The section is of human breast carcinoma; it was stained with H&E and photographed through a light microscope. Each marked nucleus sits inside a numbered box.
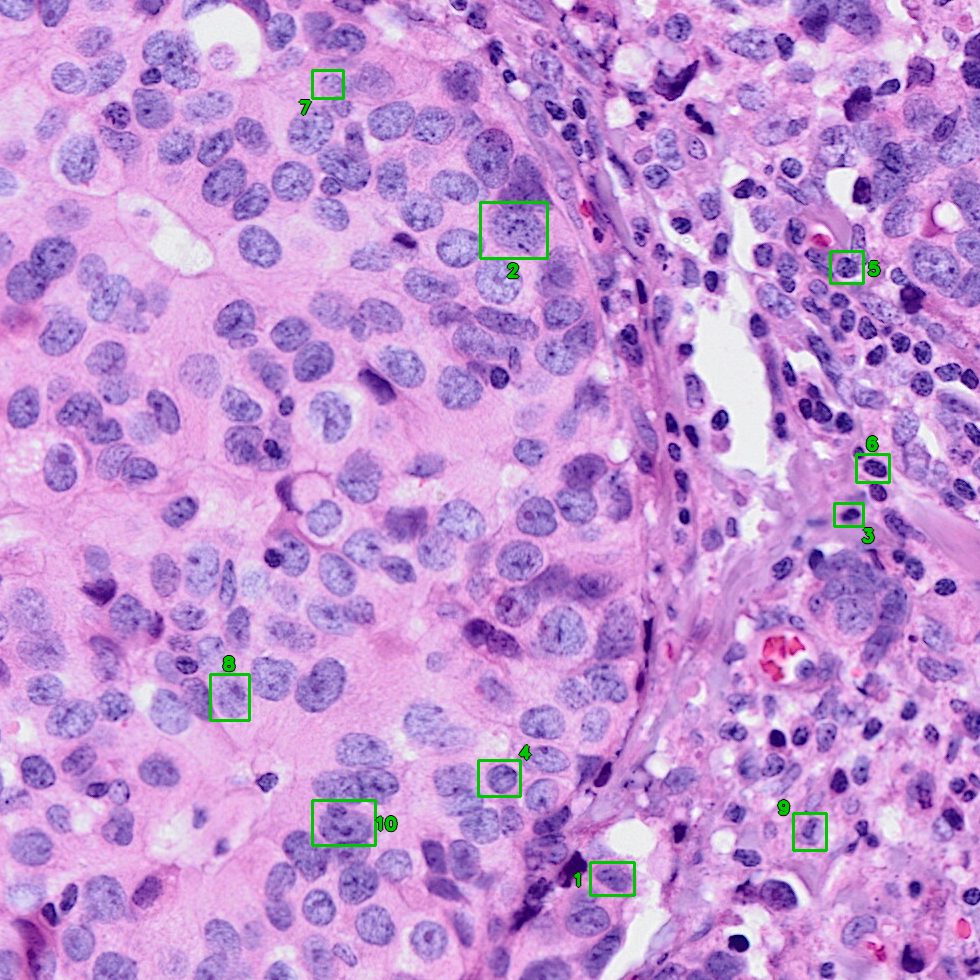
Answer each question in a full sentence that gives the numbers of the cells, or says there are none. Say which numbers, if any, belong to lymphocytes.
The cells numbered 3, 5 and 6 fall into the category of lymphocytes.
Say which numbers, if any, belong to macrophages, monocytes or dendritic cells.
Only cell 9 qualifies as a macrophage, monocyte or dendritic cell among the numbered cells.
